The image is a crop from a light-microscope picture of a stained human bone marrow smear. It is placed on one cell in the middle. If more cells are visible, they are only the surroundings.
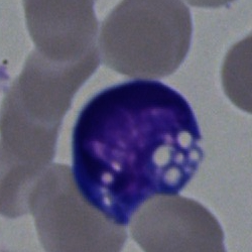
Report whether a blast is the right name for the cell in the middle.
yes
